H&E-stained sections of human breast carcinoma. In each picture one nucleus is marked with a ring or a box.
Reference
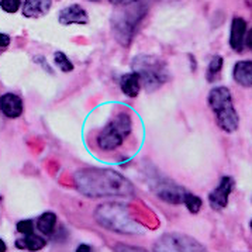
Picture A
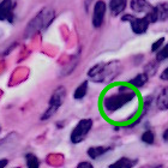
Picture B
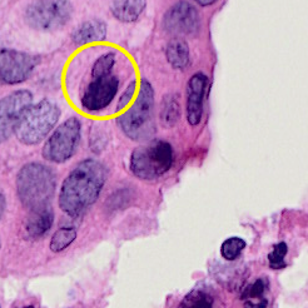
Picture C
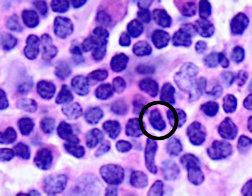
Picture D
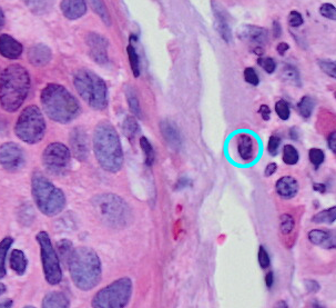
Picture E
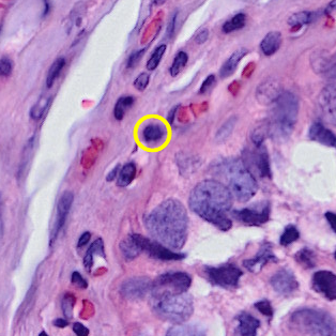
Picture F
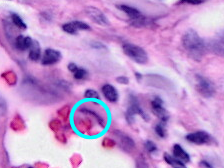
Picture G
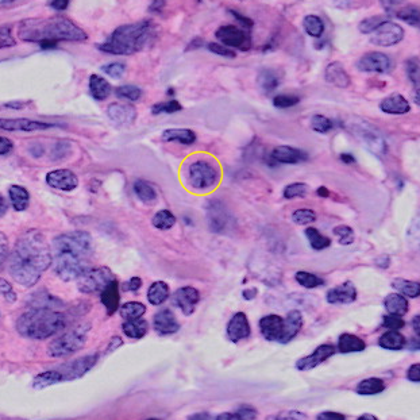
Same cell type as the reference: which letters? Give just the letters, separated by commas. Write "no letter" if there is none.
D, E, G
